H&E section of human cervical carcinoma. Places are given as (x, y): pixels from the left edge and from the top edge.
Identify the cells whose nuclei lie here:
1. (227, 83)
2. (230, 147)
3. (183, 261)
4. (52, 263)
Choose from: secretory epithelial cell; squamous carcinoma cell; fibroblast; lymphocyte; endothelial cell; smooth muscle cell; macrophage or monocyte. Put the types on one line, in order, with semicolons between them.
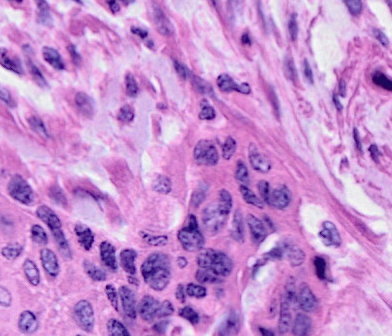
lymphocyte; squamous carcinoma cell; squamous carcinoma cell; squamous carcinoma cell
